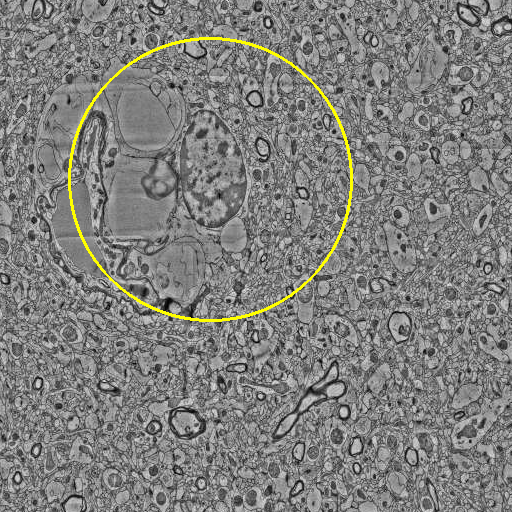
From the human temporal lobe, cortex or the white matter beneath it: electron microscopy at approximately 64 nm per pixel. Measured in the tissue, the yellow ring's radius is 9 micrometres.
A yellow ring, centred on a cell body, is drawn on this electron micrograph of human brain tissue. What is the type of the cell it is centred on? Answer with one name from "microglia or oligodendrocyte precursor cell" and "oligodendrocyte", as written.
microglia or oligodendrocyte precursor cell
